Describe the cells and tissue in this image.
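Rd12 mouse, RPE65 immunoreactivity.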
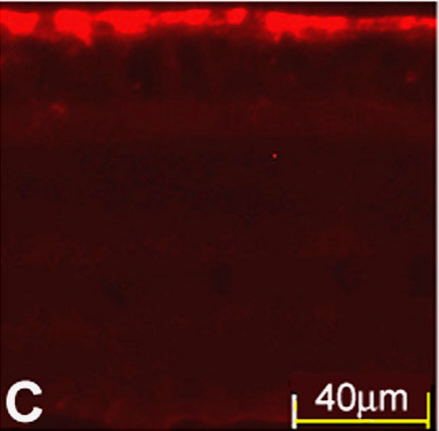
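This is a cross-section of retina with the retinal pigment epithelium at the top edge, showing an intense, patchy bright red band in that single outer cell layer. Below it the photoreceptor segment layers and the thick nuclear layers are only faintly and evenly red, without distinct labelled cells.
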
